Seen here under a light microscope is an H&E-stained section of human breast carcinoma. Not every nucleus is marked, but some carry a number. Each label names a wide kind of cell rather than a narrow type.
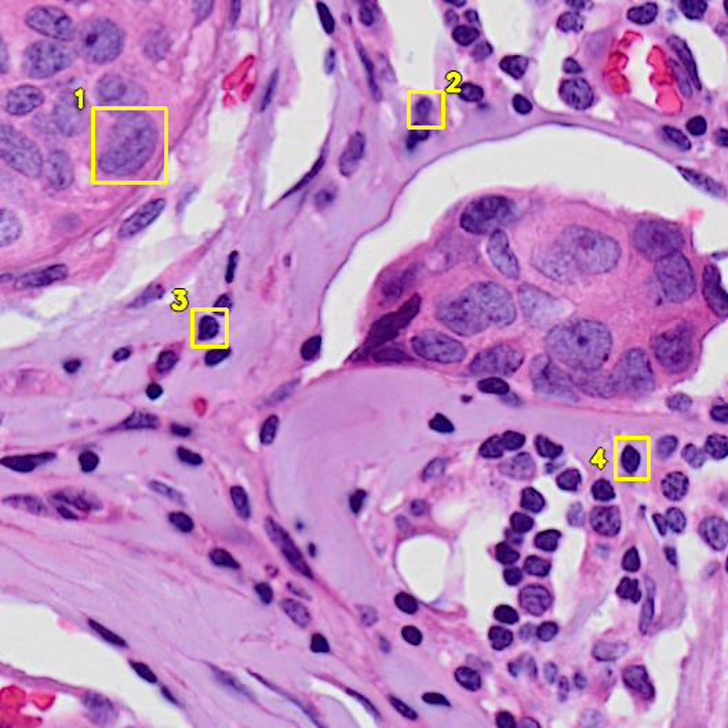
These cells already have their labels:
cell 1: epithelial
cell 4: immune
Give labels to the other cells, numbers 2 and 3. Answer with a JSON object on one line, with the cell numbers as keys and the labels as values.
{"2": "immune", "3": "immune"}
